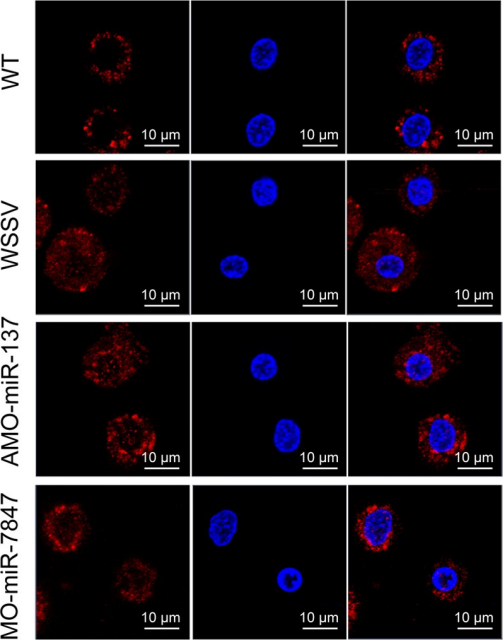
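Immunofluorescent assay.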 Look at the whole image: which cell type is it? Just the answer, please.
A: hemocytes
